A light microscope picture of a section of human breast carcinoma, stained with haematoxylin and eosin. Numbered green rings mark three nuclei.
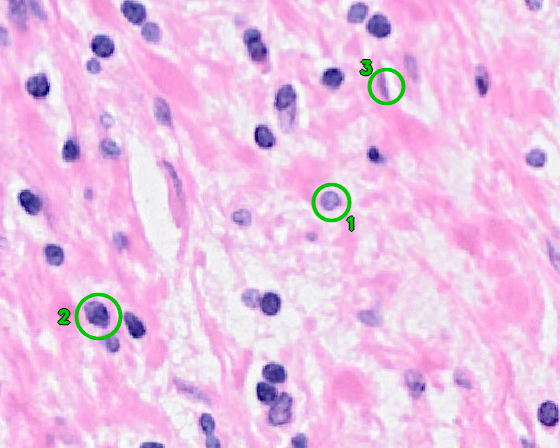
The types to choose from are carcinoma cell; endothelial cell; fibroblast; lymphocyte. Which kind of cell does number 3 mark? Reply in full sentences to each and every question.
Corresponding to a fibroblast is the cell labelled 3.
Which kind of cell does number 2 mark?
Cell 2 in the field is a lymphocyte.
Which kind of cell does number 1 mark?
The cell bearing label 1 corresponds to a lymphocyte.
